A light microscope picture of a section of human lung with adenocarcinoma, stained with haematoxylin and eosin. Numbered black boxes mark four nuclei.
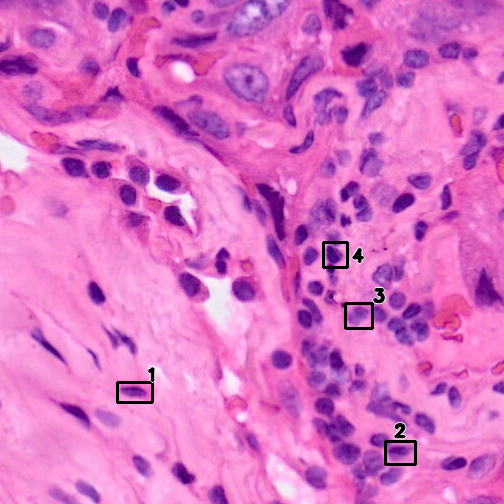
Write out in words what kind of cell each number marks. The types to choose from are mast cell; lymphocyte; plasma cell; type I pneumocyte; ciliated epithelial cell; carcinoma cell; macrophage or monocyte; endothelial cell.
Cell 1 is a mast cell, cell 2 is a lymphocyte, cell 3 is a lymphocyte and cell 4 is a lymphocyte.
